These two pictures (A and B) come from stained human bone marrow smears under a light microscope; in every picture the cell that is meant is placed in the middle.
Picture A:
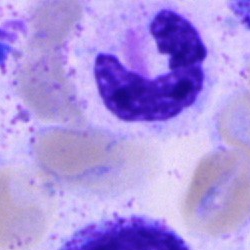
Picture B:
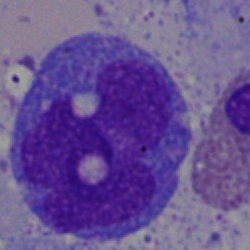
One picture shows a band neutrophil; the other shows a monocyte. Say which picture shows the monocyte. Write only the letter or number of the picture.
B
